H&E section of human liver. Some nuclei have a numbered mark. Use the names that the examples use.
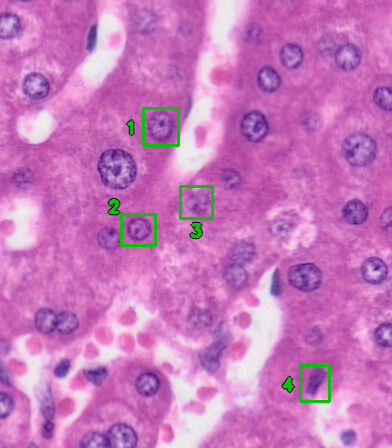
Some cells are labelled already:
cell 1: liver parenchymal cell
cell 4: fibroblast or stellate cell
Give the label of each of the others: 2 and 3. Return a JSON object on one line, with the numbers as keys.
{"2": "liver parenchymal cell", "3": "liver parenchymal cell"}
